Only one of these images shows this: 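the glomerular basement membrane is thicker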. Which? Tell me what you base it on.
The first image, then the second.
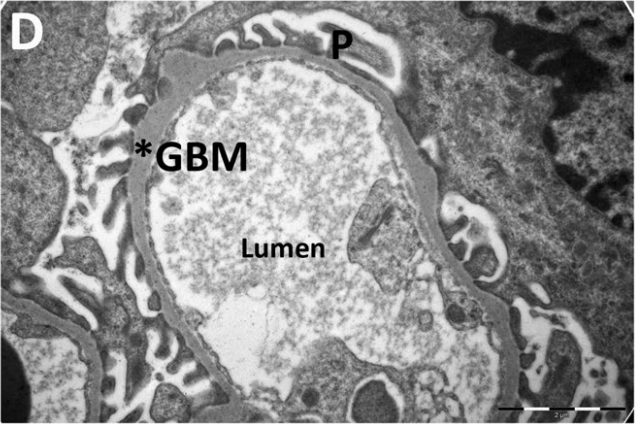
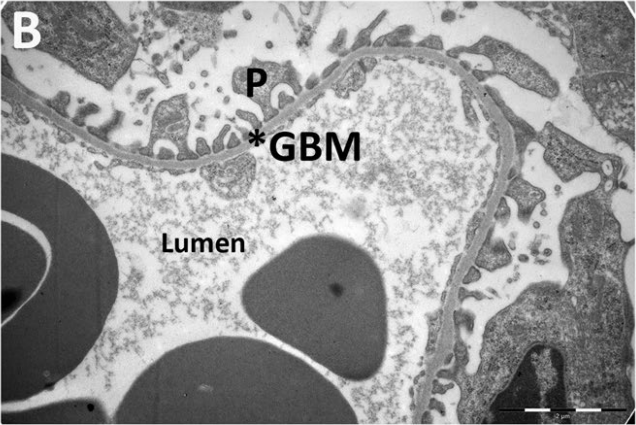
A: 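The first image. Second image: the grey band lining the capillary lumen is a thinner line.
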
